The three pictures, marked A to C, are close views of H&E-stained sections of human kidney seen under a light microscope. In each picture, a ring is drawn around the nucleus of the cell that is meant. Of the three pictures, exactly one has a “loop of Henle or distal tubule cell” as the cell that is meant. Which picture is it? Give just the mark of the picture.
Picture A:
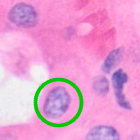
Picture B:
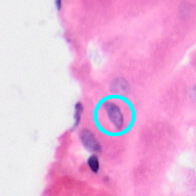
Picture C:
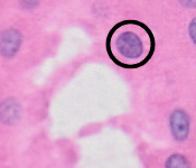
A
